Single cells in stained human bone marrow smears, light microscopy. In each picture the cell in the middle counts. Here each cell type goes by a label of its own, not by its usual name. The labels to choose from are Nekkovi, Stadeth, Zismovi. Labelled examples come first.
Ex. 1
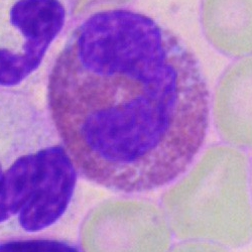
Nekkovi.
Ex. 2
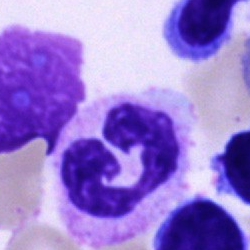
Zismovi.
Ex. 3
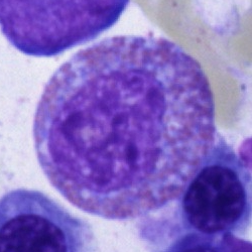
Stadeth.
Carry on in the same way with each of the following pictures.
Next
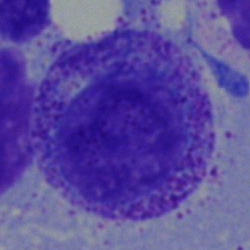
Stadeth.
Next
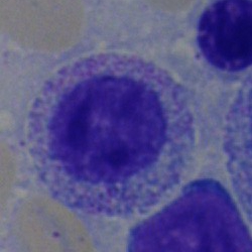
Stadeth.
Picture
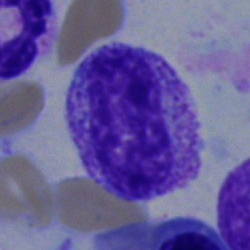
Stadeth.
